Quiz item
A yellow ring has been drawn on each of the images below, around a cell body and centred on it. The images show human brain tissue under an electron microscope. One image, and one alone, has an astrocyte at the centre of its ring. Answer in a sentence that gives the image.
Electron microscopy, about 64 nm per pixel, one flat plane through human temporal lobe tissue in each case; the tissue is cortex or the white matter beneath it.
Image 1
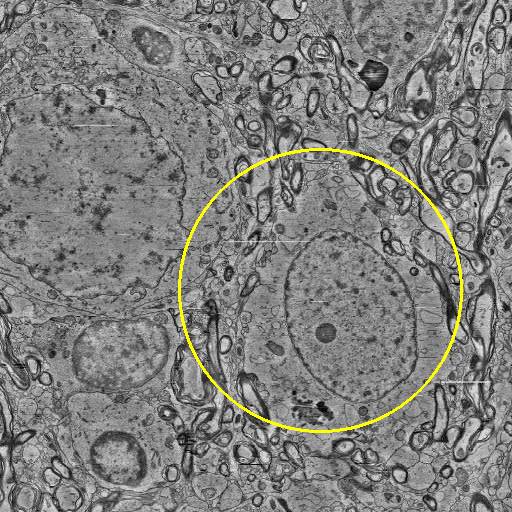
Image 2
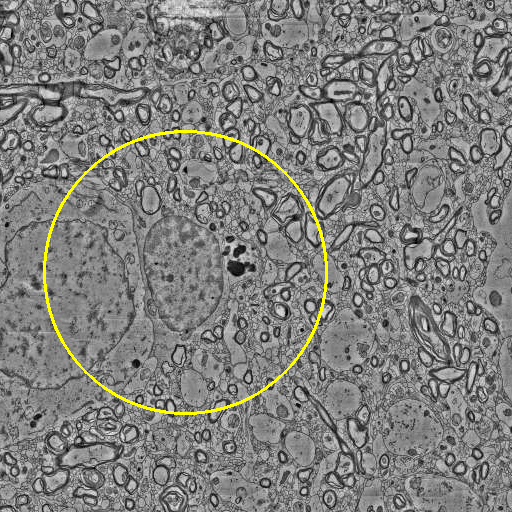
Image 1 shows it at the centre of the ring.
